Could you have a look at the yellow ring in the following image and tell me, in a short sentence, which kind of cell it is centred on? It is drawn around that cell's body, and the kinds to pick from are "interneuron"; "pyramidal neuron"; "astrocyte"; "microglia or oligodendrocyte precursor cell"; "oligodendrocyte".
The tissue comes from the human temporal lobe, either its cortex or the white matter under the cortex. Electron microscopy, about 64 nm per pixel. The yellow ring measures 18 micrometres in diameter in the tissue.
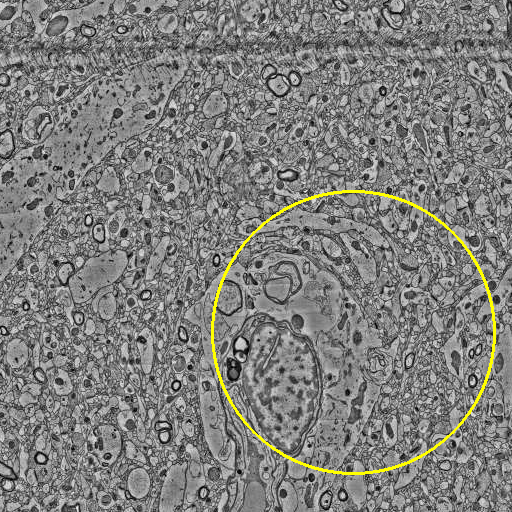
The ring is centred on the body of a microglial cell or oligodendrocyte precursor cell.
